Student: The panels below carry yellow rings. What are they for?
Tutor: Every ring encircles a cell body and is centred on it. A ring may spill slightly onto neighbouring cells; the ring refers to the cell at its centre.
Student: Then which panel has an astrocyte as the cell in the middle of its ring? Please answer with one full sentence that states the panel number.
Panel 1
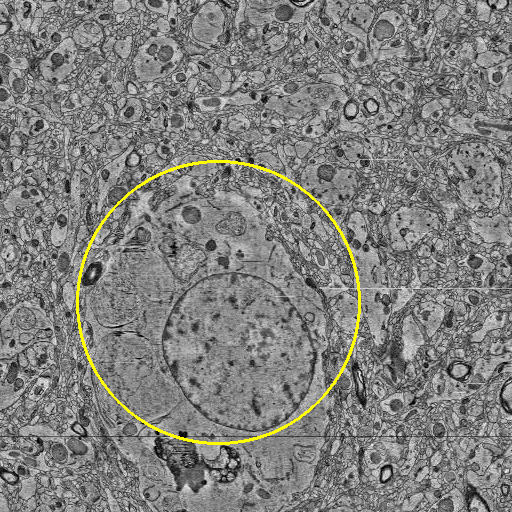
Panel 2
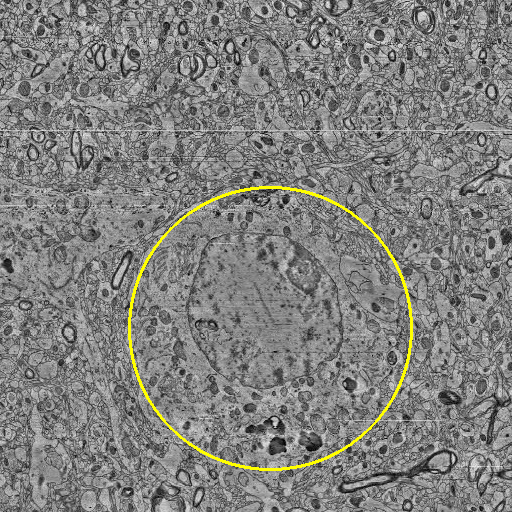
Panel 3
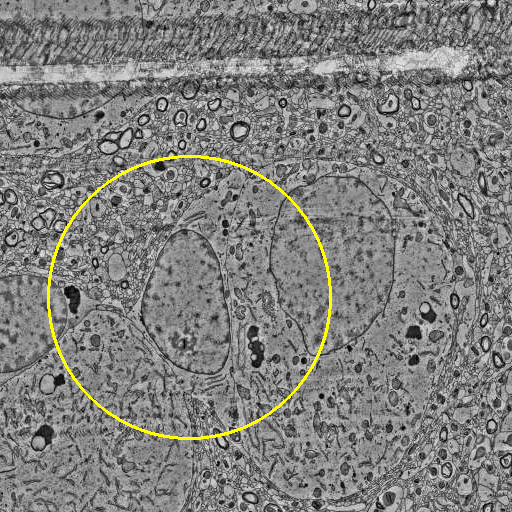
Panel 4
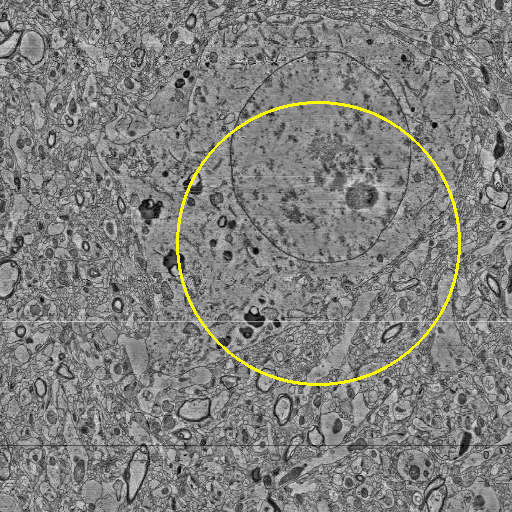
In Panel 1, the cell centred in the ring is the one sought.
